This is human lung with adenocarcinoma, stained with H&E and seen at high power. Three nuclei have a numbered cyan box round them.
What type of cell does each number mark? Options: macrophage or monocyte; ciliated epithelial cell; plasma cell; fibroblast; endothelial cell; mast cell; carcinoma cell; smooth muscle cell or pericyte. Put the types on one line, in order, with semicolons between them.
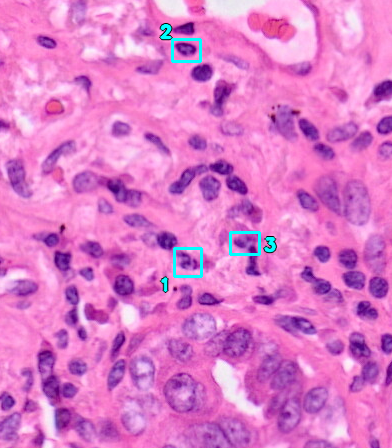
plasma cell; mast cell; plasma cell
